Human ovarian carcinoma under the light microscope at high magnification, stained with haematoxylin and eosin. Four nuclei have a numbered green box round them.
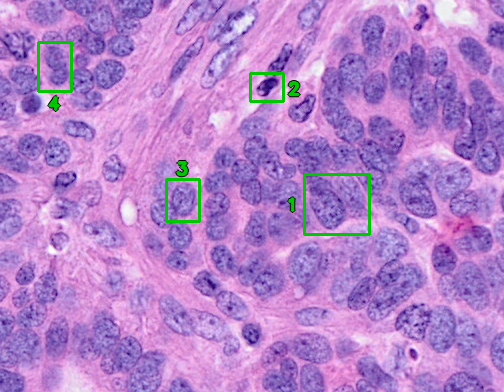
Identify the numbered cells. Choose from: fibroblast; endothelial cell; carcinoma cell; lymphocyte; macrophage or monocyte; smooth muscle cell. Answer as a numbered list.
1. carcinoma cell
2. lymphocyte
3. carcinoma cell
4. carcinoma cell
